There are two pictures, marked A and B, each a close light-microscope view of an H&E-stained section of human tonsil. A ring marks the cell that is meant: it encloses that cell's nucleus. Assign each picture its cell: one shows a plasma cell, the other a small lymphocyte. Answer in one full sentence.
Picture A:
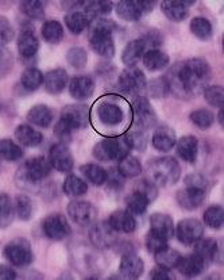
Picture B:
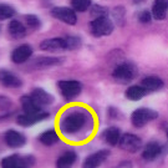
Picture A is of a small lymphocyte, and picture B is of a plasma cell.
